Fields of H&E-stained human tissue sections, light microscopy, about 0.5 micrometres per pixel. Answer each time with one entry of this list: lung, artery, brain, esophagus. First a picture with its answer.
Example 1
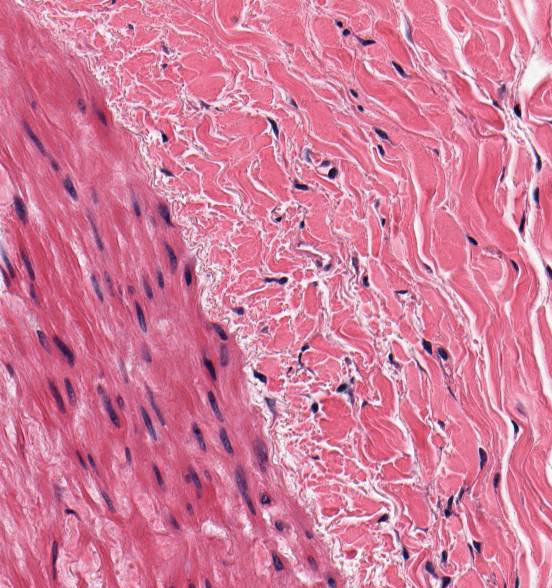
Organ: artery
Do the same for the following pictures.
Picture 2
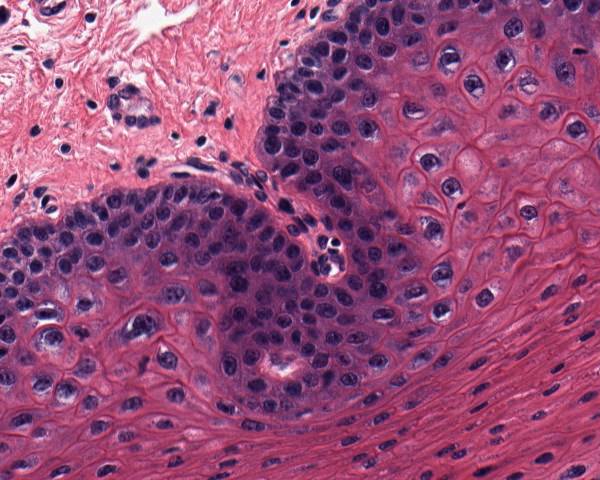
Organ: esophagus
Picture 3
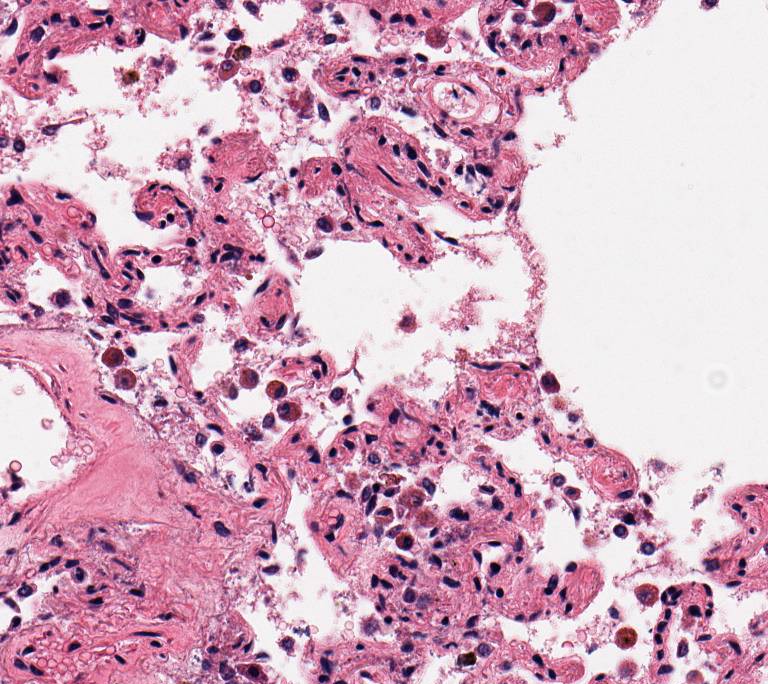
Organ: lung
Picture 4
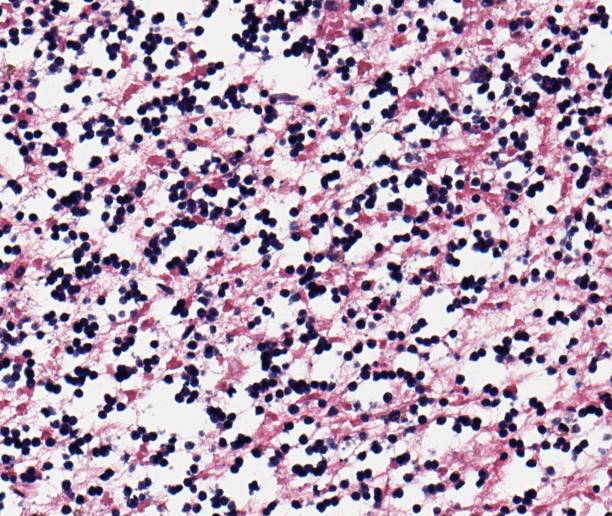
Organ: brain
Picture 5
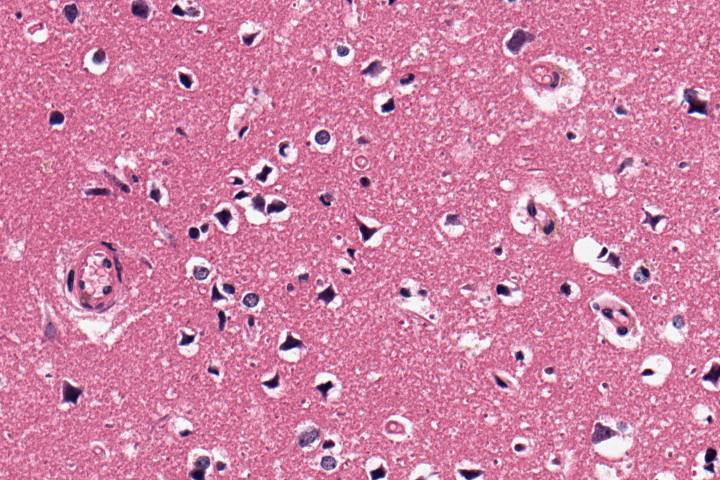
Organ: brain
